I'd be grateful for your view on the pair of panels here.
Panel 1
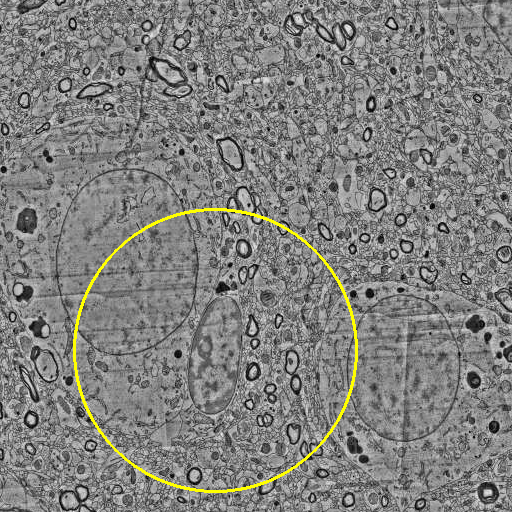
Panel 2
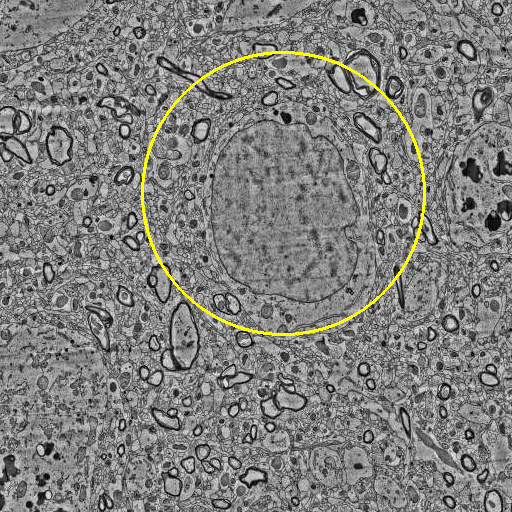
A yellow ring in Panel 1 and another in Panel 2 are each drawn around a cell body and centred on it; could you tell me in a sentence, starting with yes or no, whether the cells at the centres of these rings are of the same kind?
No, they are two kinds of cell.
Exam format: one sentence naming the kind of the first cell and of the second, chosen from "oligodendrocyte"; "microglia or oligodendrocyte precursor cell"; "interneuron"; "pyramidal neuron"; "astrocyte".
The first picture's cell is a microglial cell or oligodendrocyte precursor cell, and the second picture's cell is a pyramidal neuron.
